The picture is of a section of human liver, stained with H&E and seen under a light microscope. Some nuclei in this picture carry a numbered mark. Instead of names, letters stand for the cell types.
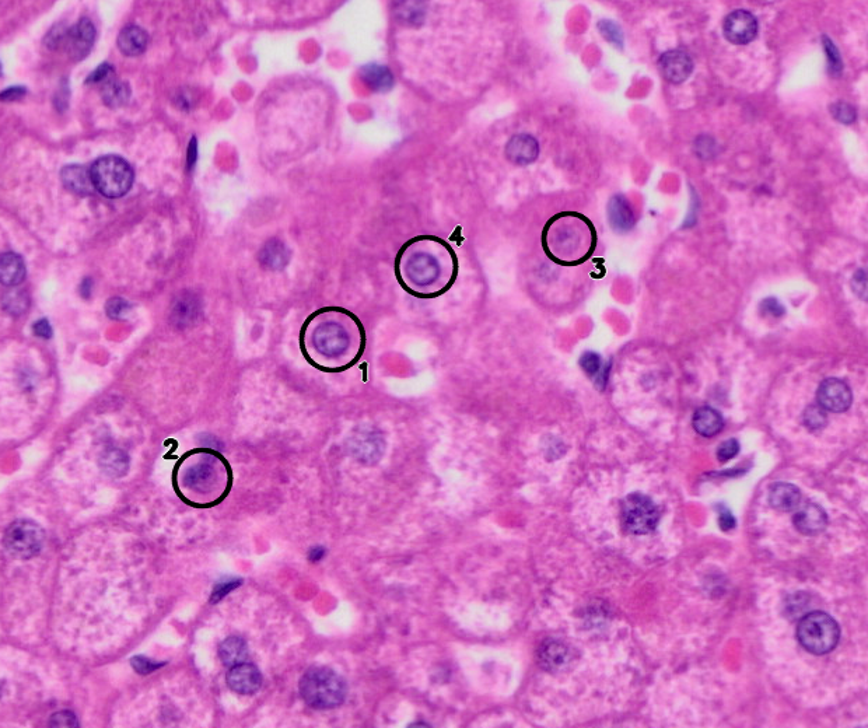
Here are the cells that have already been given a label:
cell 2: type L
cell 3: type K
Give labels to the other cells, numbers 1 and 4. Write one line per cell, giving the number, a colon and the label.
1: type K
4: type K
